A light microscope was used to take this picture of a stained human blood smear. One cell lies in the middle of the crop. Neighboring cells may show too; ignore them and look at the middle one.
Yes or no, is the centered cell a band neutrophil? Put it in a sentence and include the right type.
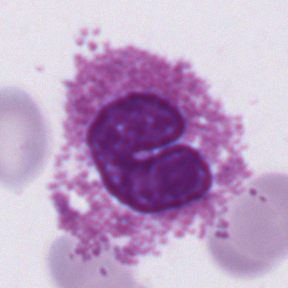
No, the cell occupying the centre is an eosinophil, not a band neutrophil.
